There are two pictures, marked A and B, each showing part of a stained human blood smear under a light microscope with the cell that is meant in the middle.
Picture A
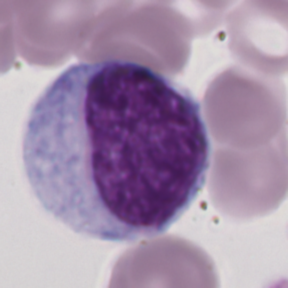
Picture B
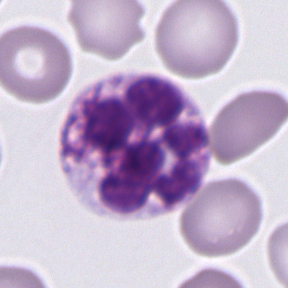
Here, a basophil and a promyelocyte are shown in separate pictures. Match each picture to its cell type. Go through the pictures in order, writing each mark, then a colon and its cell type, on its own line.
A: promyelocyte
B: basophil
